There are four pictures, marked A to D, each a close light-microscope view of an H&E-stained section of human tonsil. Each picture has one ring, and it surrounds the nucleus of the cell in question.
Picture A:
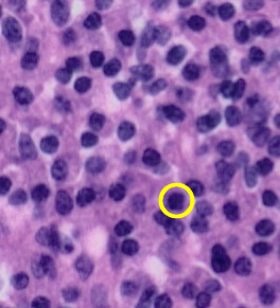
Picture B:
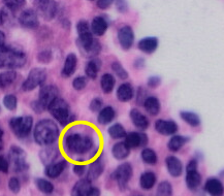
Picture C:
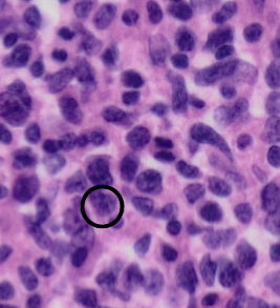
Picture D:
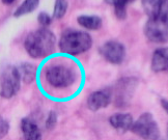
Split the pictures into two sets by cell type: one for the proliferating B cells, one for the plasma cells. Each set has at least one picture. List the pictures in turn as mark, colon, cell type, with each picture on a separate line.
A: plasma cell
B: proliferating B cell
C: proliferating B cell
D: proliferating B cell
